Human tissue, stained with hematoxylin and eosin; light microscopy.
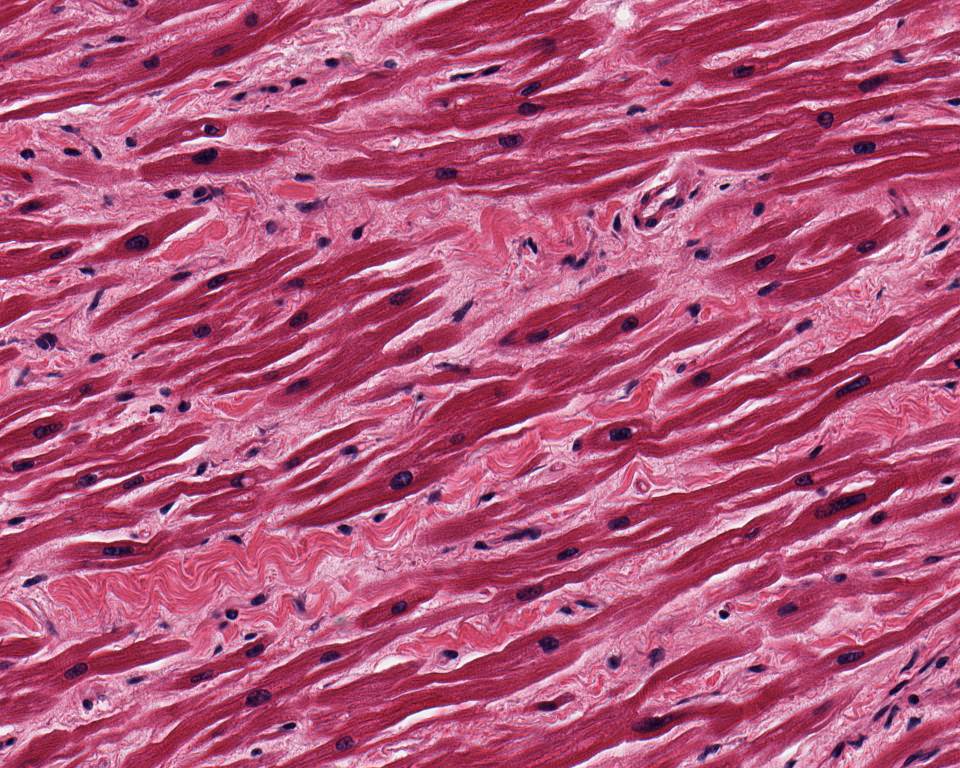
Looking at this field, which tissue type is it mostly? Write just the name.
myocardium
